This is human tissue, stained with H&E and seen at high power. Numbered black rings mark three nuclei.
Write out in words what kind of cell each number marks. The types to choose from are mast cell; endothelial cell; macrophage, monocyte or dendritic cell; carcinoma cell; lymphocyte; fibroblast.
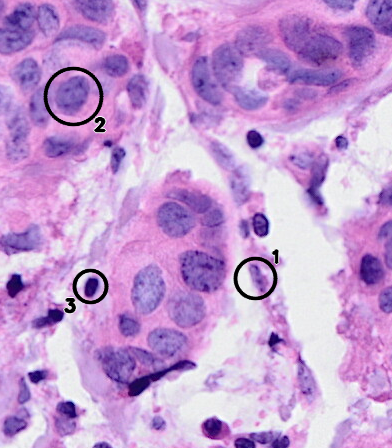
Cell 1 is a fibroblast, cell 2 is a carcinoma cell and cell 3 is a lymphocyte.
